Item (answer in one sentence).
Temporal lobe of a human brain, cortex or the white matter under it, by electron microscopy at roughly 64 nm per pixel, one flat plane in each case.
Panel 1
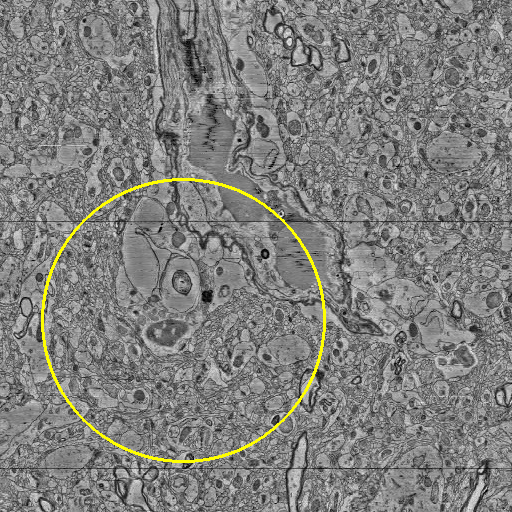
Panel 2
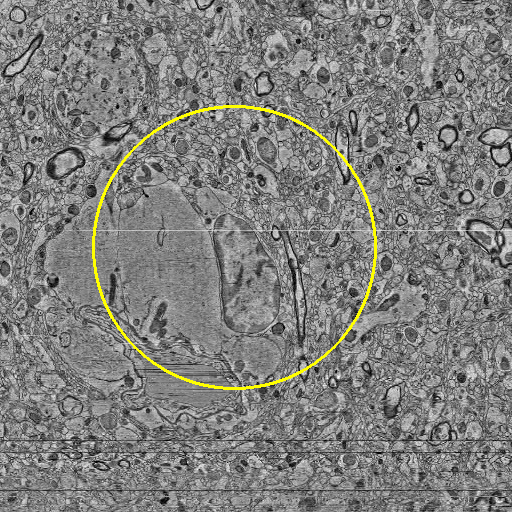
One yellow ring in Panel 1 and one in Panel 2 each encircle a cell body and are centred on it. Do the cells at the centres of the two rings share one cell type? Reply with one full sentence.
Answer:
Yes, Panel 1 and Panel 2 show cells of one type at the centres of their rings.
